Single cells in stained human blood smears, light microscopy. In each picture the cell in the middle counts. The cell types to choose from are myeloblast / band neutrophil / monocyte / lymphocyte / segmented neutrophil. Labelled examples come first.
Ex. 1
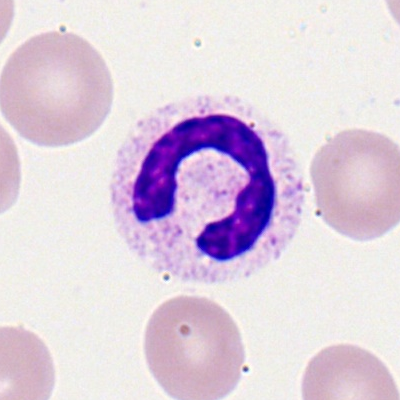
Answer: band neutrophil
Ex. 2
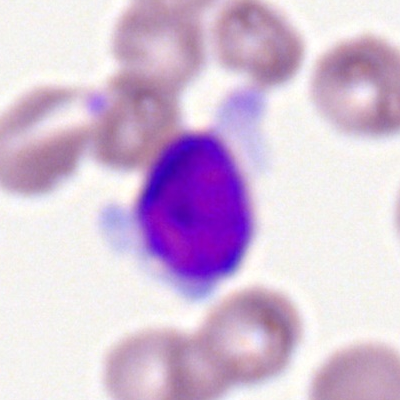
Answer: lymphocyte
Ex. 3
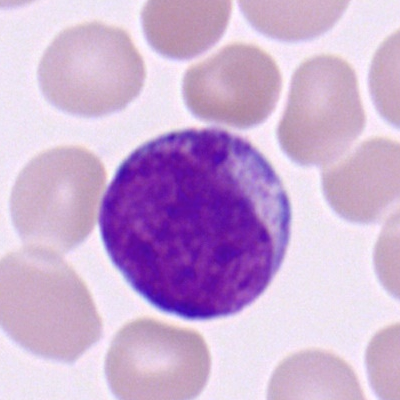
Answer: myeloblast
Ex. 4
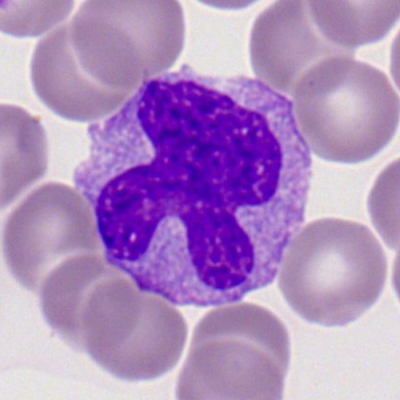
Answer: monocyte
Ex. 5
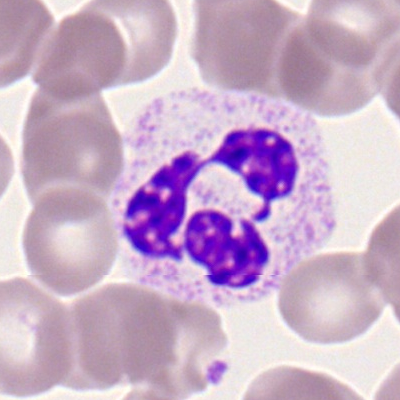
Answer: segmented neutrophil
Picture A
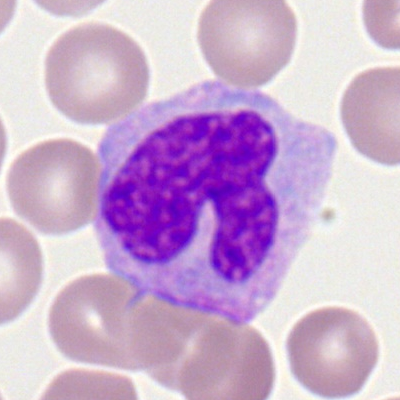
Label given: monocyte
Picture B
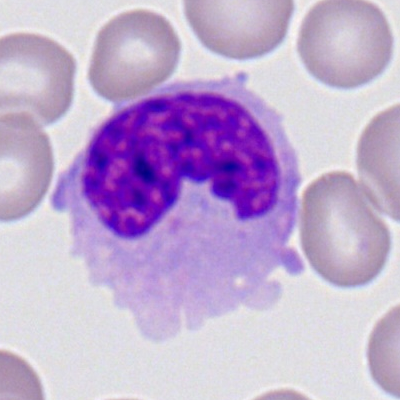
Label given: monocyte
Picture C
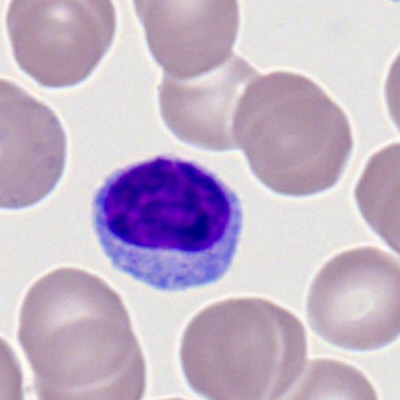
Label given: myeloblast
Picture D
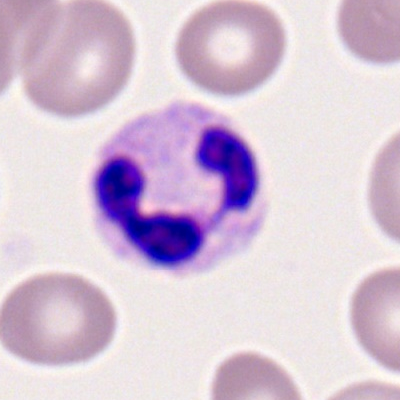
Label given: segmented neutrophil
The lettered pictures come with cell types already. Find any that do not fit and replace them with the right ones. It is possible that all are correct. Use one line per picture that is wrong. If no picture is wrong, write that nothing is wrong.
C should be lymphocyte, not myeloblast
